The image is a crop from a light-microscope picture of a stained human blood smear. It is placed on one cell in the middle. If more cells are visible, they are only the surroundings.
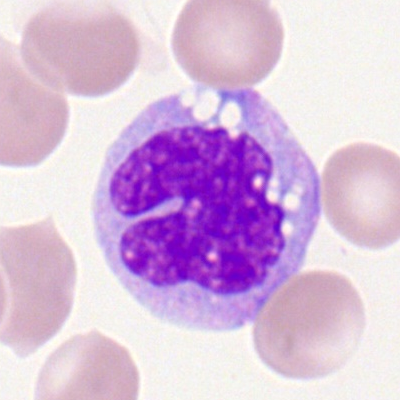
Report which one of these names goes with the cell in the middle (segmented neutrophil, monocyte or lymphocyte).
monocyte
